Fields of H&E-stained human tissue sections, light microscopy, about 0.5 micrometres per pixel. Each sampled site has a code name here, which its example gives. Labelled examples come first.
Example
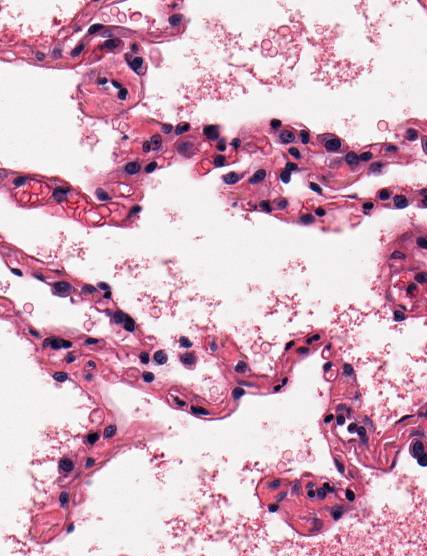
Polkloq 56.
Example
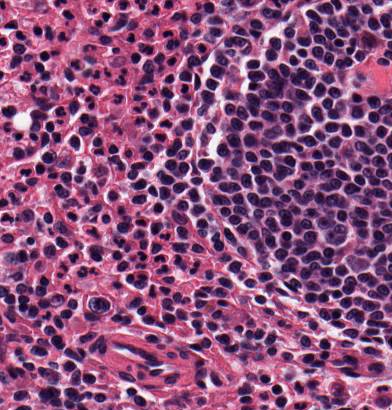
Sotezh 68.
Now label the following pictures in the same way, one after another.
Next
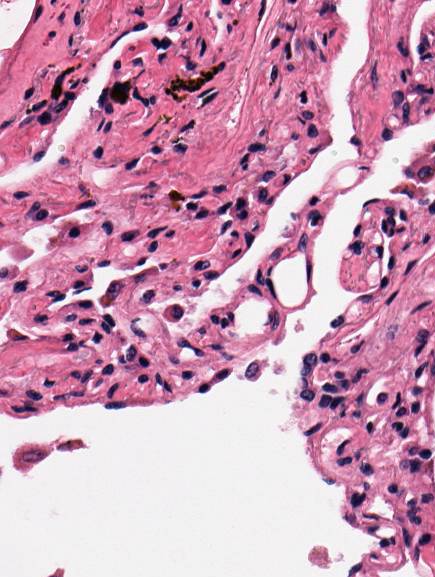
Polkloq 56.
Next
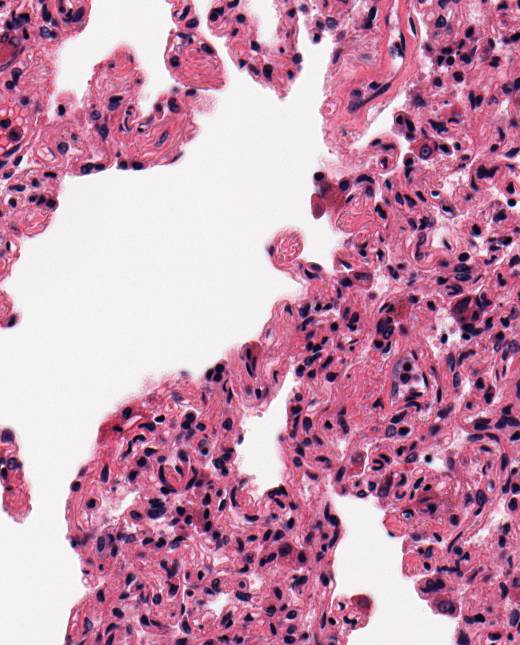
Polkloq 56.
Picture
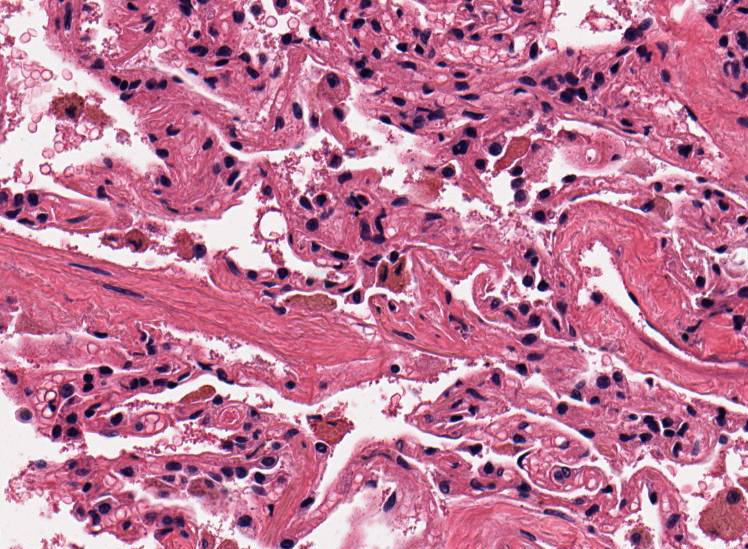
Polkloq 56.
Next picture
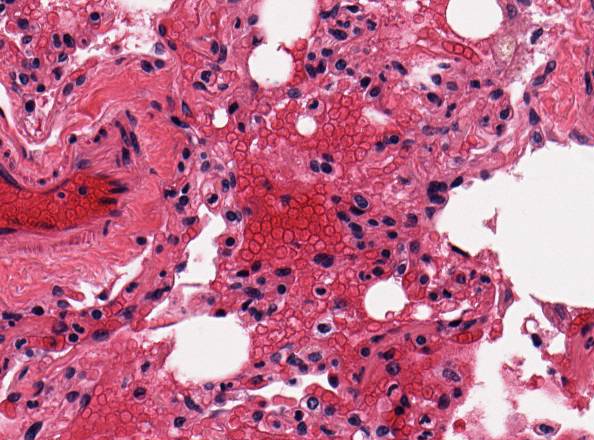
Polkloq 56.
